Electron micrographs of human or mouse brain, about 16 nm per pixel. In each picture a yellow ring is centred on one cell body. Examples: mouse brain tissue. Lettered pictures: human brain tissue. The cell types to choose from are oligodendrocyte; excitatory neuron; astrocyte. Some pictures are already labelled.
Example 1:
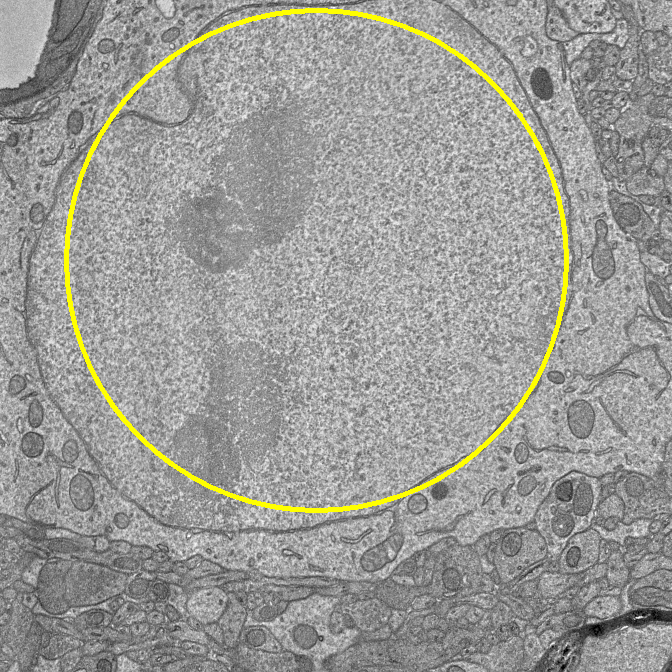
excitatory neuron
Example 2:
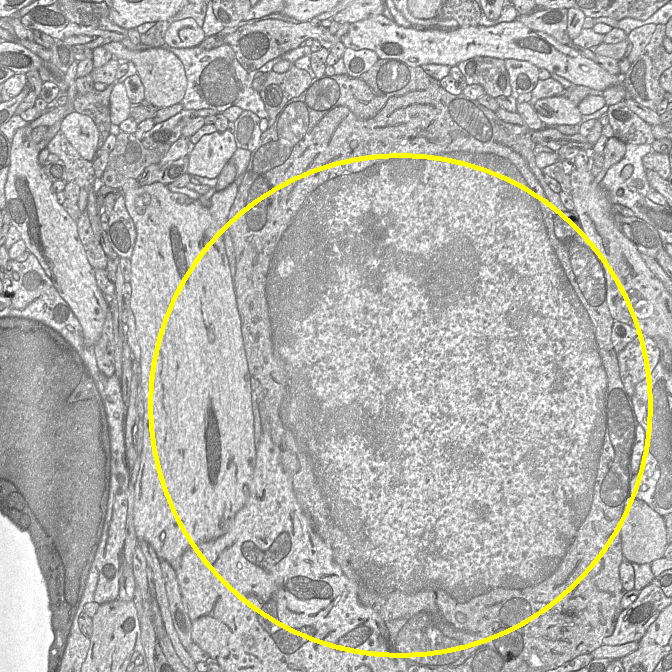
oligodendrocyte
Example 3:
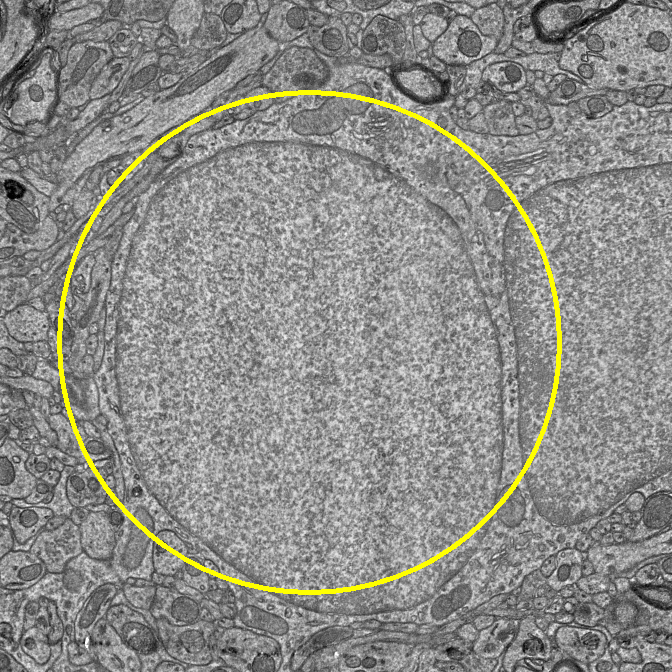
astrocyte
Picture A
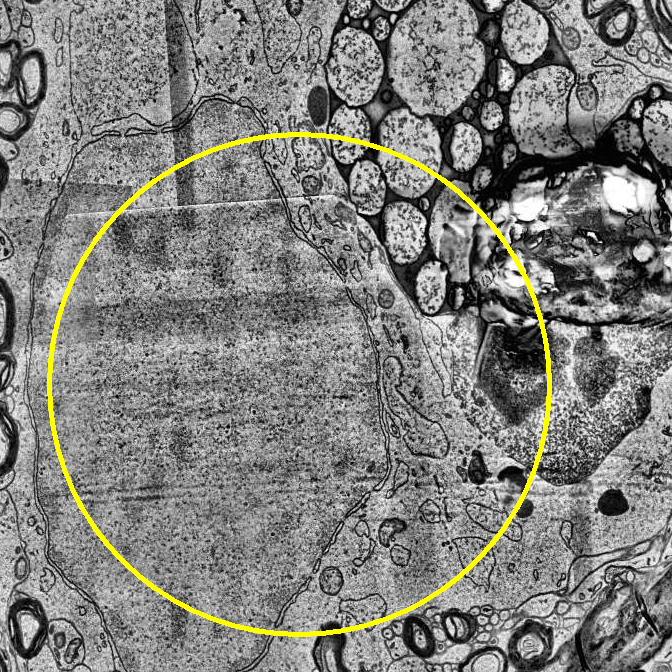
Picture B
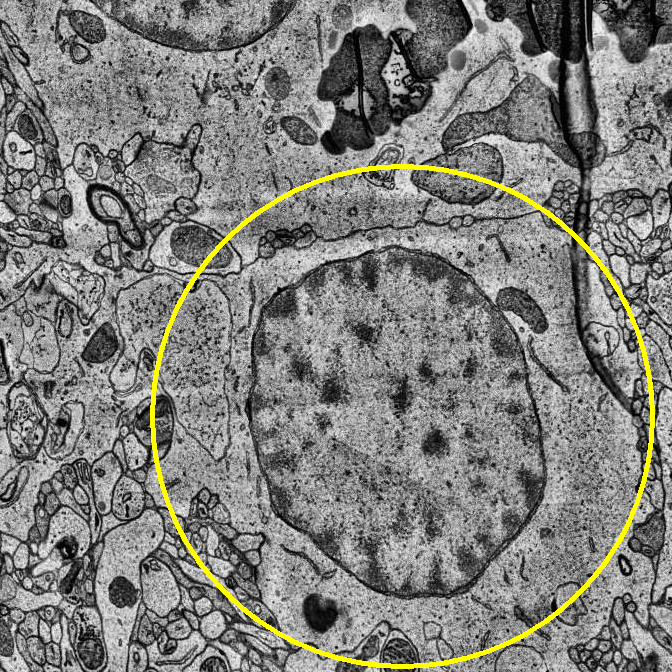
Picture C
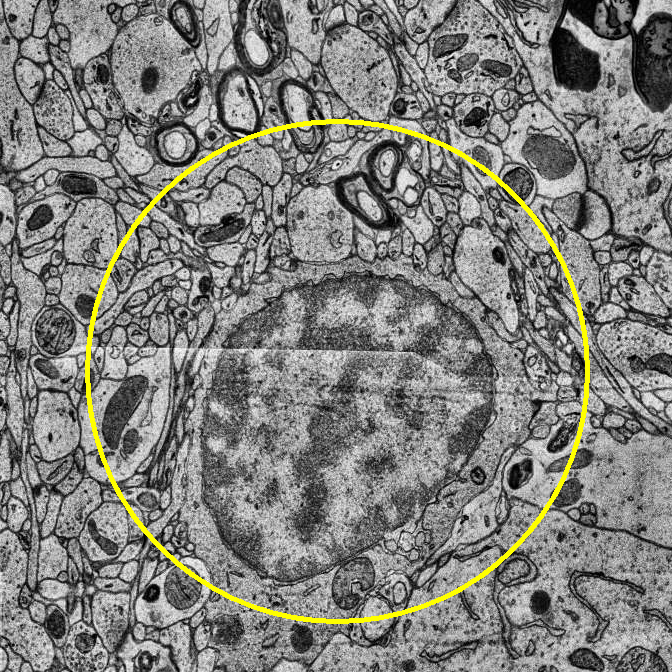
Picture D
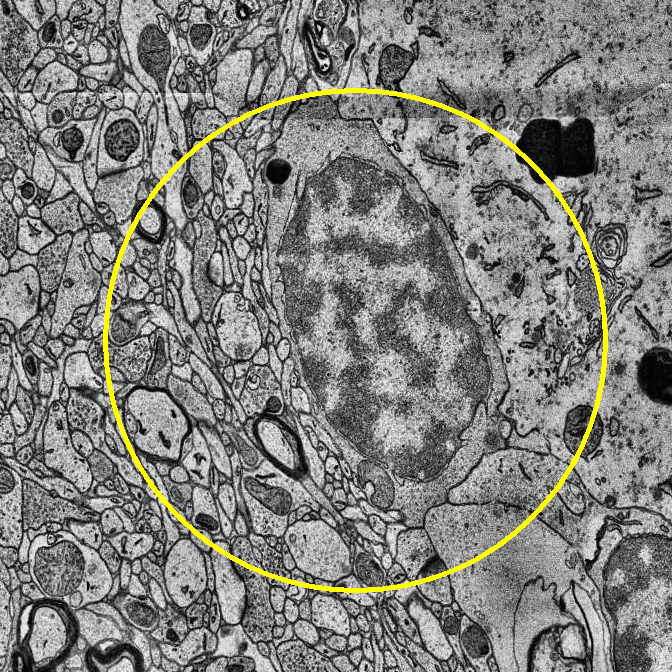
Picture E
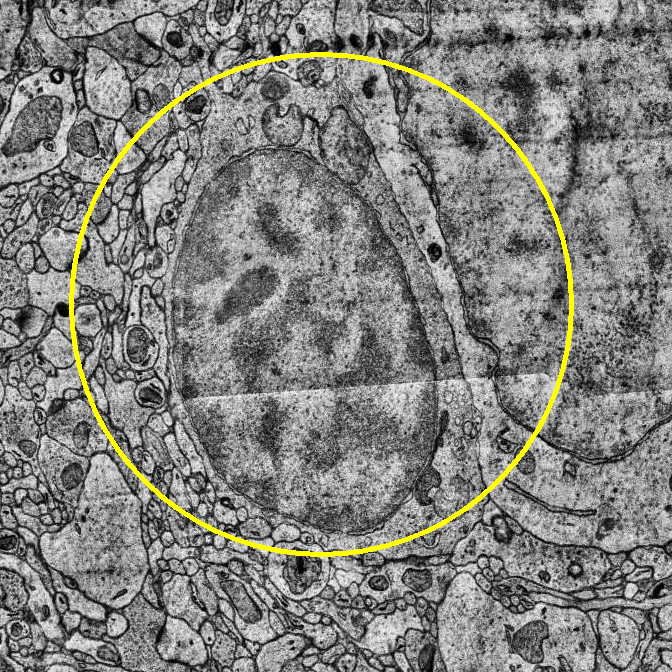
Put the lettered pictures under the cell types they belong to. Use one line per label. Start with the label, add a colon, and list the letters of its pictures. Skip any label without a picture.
oligodendrocyte: C, D, E
astrocyte: A, B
